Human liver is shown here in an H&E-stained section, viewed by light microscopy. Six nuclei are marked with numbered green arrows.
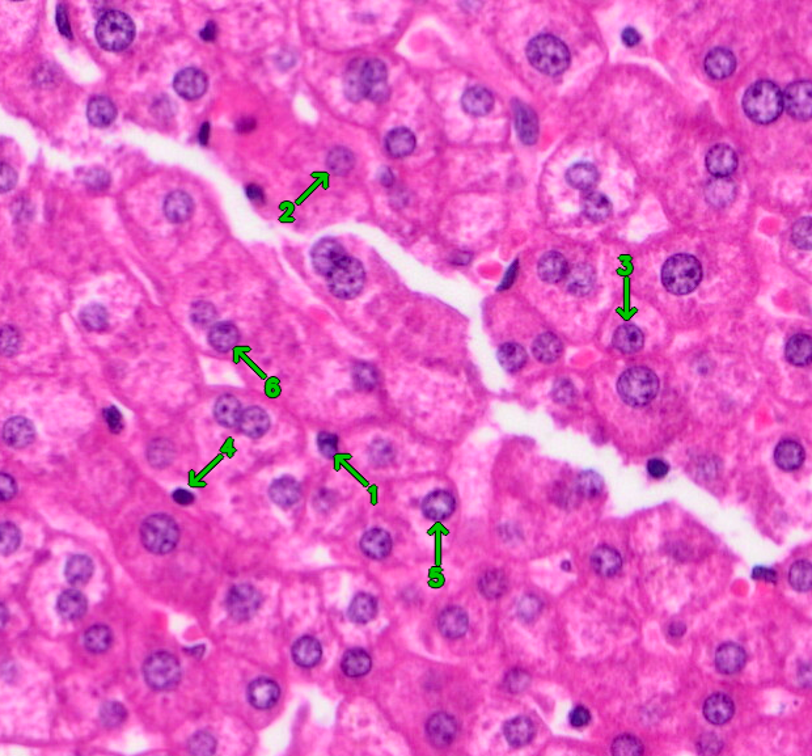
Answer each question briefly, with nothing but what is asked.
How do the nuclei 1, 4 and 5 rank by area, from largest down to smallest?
5, 1, 4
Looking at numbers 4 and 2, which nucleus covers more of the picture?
2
